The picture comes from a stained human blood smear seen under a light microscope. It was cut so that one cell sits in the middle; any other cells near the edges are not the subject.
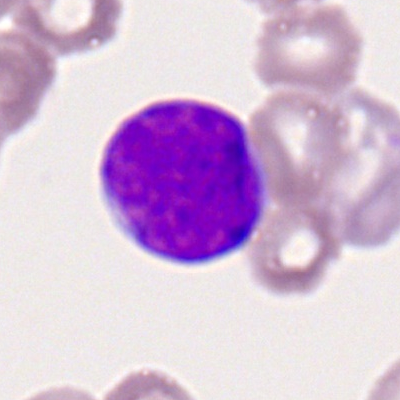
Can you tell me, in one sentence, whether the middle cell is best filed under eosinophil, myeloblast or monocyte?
By classification, the middle cell of this crop is a myeloblast.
